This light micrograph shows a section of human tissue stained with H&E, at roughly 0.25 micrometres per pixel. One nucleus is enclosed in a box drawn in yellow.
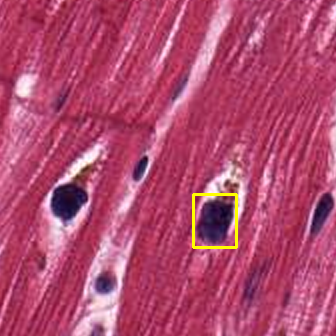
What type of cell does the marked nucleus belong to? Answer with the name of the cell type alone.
cardiomyocyte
